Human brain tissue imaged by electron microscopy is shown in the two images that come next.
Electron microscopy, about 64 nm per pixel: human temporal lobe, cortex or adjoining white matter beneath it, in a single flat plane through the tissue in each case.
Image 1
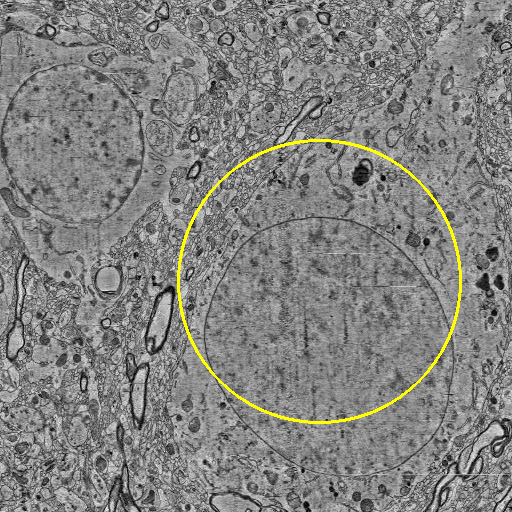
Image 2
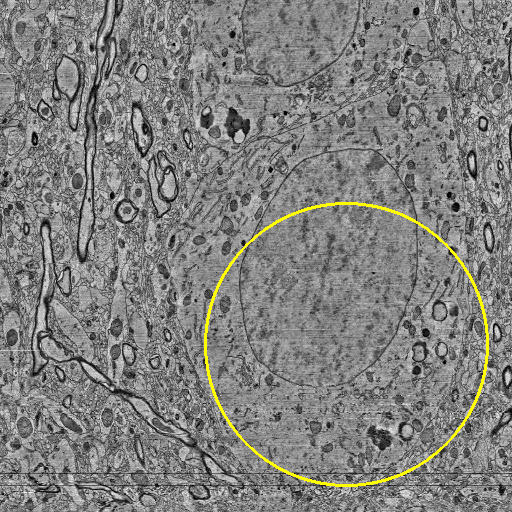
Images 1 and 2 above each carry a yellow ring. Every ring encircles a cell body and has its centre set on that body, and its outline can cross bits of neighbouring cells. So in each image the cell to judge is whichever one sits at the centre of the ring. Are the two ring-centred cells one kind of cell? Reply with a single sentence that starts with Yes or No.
Yes, in Image 1 and Image 2 the cells at the centres of their rings fall into one type.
